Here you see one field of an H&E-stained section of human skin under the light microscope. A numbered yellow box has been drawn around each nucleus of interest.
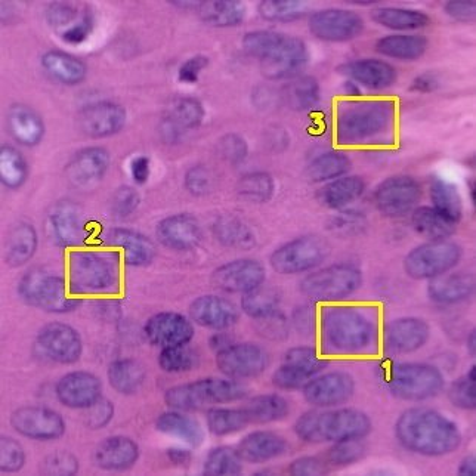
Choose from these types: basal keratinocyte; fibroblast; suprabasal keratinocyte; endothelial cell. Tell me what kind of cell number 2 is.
suprabasal keratinocyte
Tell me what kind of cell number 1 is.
suprabasal keratinocyte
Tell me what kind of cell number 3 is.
basal keratinocyte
